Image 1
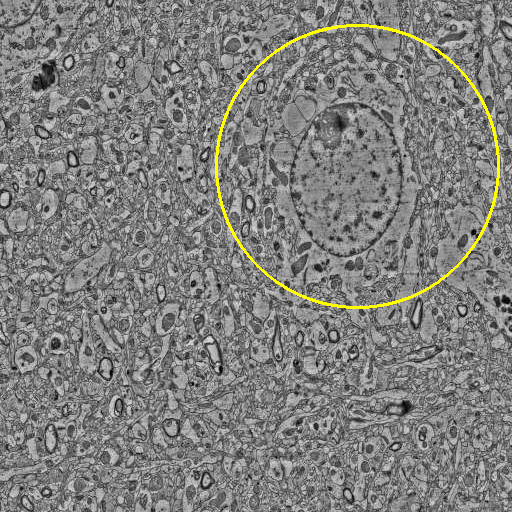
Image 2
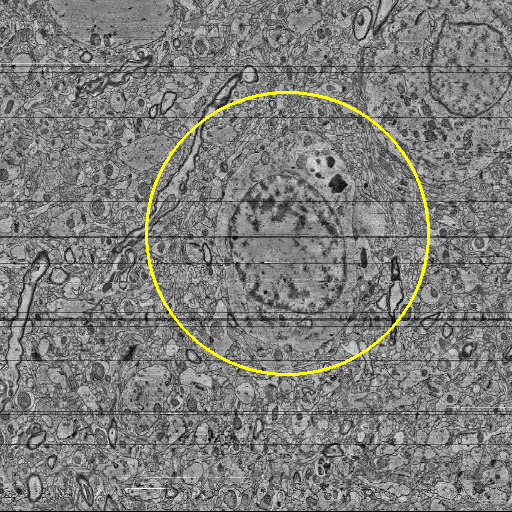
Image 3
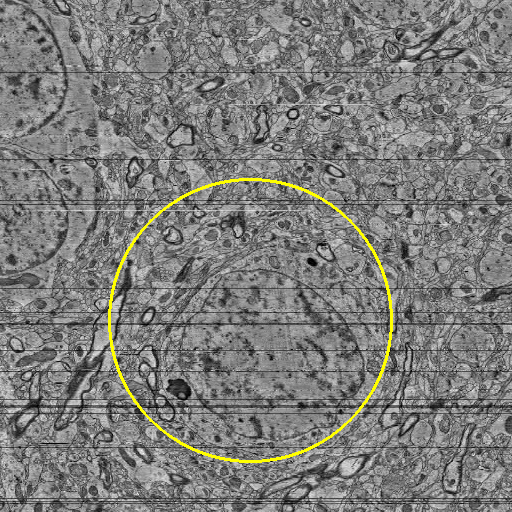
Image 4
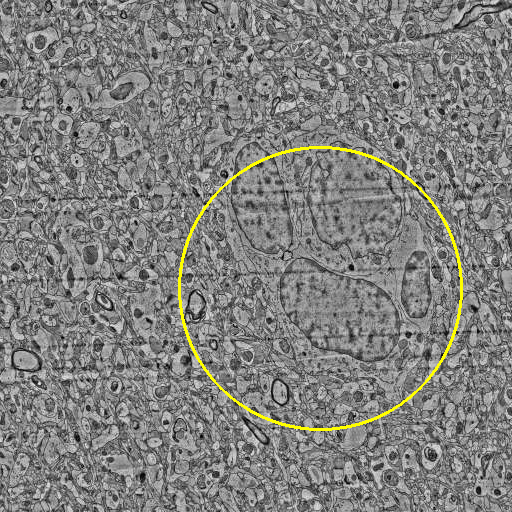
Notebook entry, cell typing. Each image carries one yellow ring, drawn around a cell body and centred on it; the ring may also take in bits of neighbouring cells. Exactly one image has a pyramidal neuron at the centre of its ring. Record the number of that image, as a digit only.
3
